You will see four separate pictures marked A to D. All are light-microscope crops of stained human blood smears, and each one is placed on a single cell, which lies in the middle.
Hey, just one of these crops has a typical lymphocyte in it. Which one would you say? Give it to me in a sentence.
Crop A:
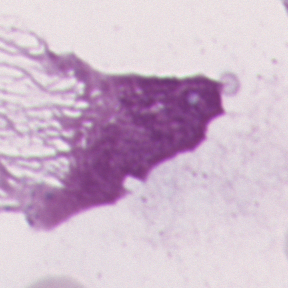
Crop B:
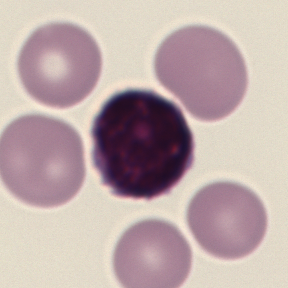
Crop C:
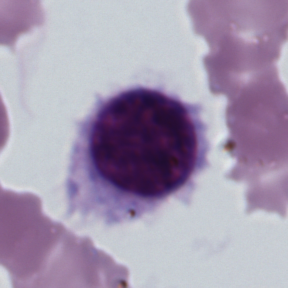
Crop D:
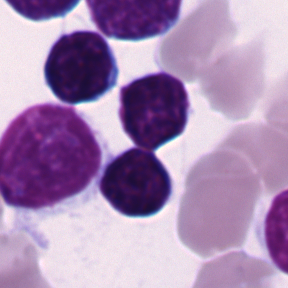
Crop B is the crop that shows a typical lymphocyte in its middle.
